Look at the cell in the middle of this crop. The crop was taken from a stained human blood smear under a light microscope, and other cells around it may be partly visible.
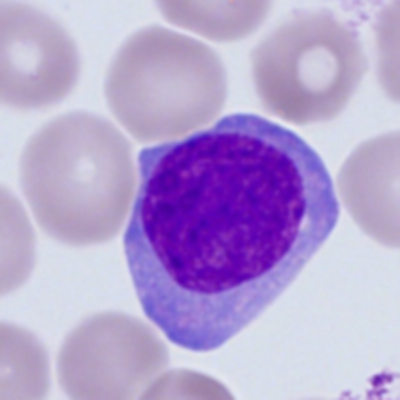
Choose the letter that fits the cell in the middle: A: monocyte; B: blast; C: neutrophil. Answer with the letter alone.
B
